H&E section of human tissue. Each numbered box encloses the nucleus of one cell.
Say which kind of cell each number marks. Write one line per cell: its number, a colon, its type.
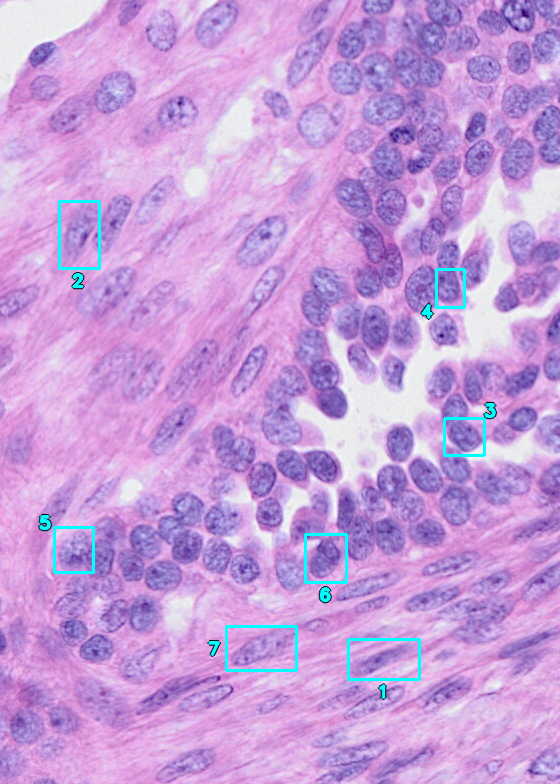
1: fibroblast
2: fibroblast
3: carcinoma cell
4: carcinoma cell
5: carcinoma cell
6: carcinoma cell
7: fibroblast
